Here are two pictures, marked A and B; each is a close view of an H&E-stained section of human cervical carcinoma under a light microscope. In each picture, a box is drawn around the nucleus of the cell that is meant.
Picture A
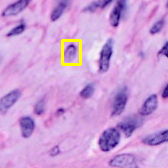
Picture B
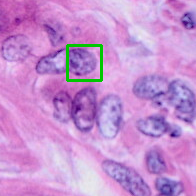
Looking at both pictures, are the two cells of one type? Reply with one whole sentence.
No. Picture A shows a smooth muscle cell, but picture B shows an endothelial cell.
